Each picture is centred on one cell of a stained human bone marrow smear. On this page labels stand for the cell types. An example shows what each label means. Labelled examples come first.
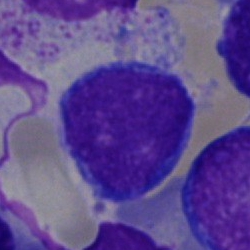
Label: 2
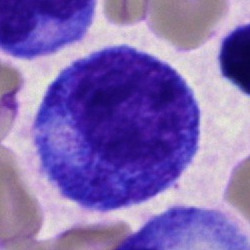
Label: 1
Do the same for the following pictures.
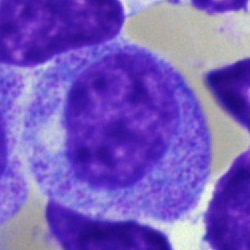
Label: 1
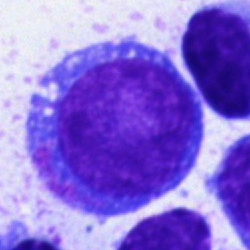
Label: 2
